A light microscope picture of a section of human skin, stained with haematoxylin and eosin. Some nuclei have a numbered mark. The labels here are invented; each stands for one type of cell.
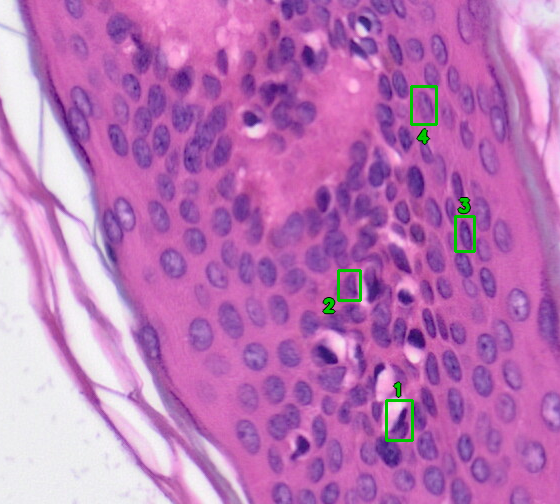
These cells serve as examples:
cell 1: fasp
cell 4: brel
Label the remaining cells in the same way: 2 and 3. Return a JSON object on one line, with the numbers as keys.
{"2": "fasp", "3": "brel"}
